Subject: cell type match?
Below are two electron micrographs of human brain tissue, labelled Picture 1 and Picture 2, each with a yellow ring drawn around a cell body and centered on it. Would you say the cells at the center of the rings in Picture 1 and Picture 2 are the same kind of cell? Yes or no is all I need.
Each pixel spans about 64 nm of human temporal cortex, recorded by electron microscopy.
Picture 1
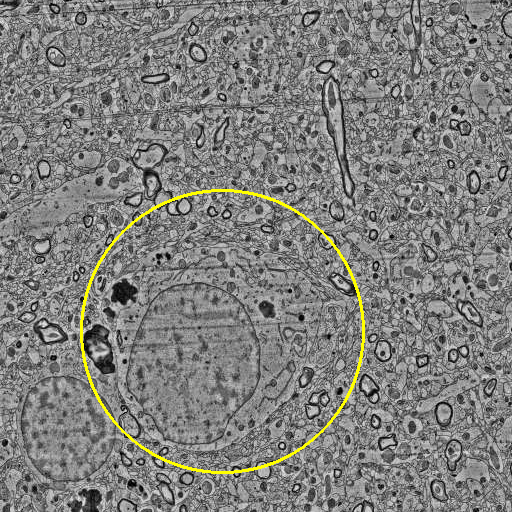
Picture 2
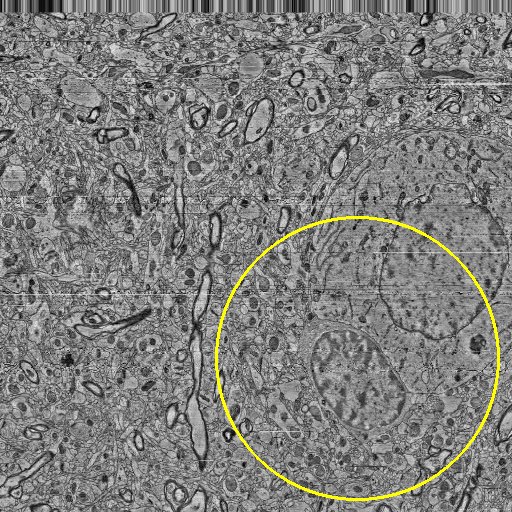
no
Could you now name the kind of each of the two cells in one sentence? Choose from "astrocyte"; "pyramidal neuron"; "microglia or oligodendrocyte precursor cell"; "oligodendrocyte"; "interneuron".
The first ring encloses a pyramidal neuron; the second ring encloses an oligodendrocyte.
